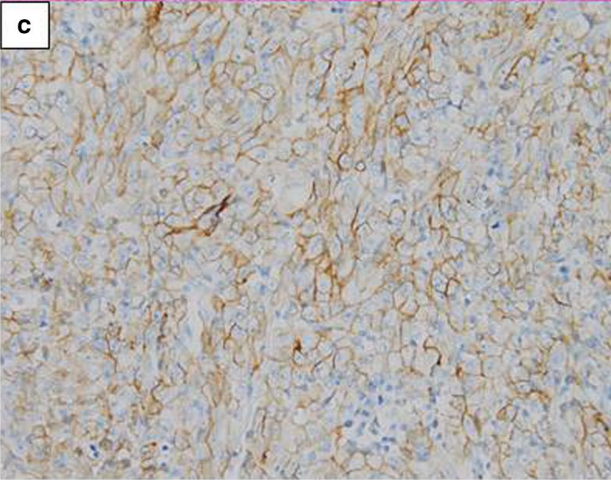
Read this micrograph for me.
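This view shows a sheet of closely packed tumor cells whose cell membranes are outlined by a brown stain, forming a fine net-like pattern across the field. The nuclei are counterstained pale blue and lie within the brown outlines, and the cytoplasm is largely unstained.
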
